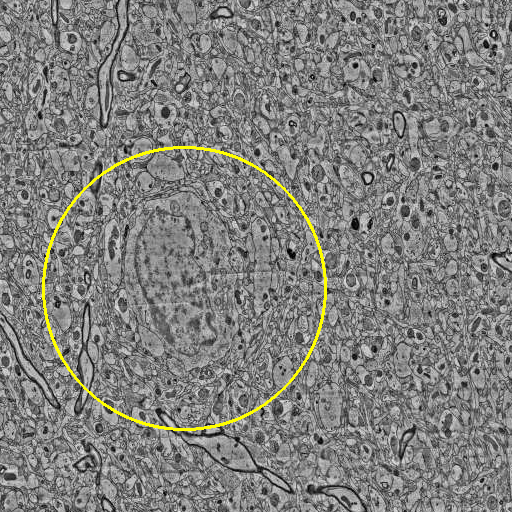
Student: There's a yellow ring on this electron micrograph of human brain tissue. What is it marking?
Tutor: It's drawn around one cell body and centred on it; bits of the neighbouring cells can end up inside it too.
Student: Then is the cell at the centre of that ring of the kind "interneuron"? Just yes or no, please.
yes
